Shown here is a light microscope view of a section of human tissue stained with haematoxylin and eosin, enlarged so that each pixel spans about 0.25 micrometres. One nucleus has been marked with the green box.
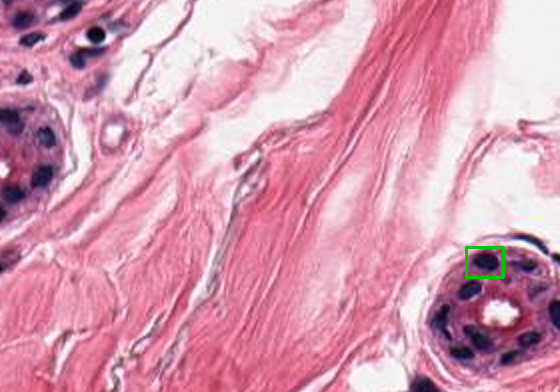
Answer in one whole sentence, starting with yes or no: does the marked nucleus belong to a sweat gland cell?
Yes, here the marked nucleus belongs to a sweat gland cell.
